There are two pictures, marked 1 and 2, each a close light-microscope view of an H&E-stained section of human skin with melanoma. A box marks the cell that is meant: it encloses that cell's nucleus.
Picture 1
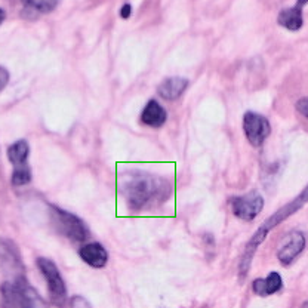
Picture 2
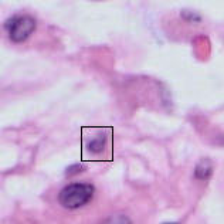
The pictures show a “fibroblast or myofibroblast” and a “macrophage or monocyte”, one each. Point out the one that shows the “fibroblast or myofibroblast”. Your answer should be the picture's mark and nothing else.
1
